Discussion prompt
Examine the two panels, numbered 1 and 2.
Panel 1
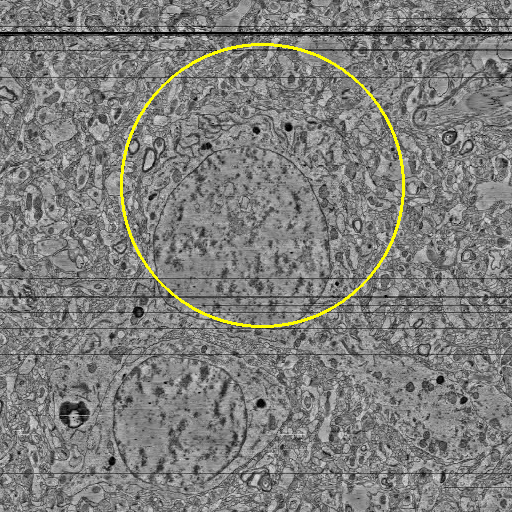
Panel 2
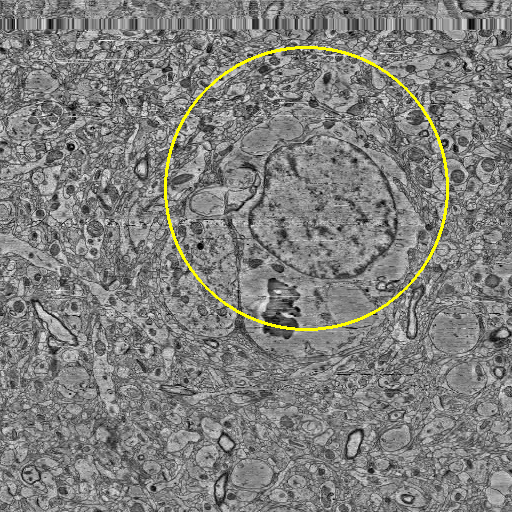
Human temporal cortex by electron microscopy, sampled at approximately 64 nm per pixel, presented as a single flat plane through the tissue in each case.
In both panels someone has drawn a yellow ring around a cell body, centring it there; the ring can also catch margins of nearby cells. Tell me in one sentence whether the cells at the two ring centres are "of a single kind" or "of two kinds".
Taken together, the two cells centred in the rings of Panels 1 and 2 are of two kinds.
